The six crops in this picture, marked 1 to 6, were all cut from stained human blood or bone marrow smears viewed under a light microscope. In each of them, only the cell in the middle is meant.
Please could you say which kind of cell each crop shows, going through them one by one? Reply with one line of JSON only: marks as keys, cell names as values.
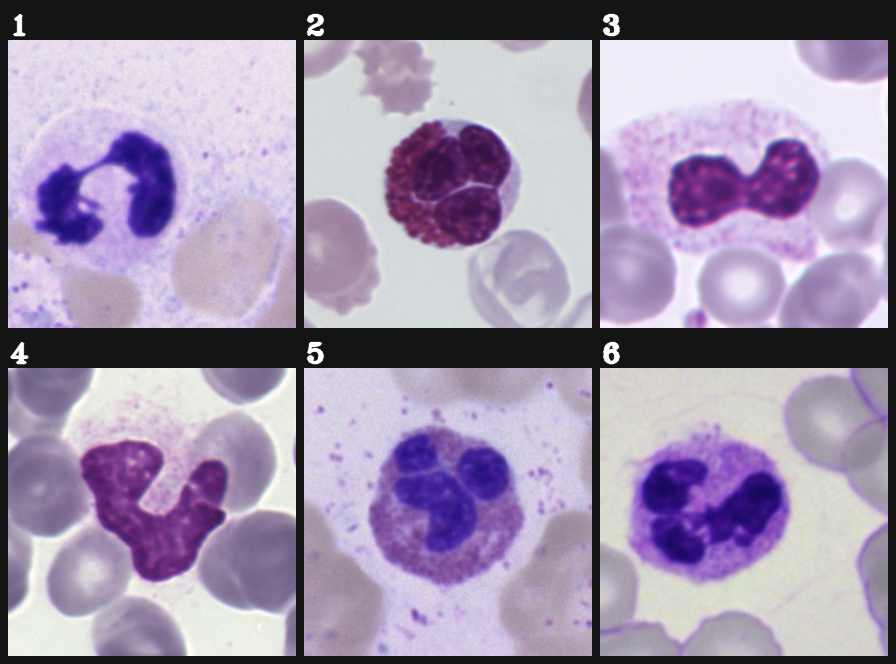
{"1": "segmented neutrophil", "2": "eosinophil", "3": "band neutrophil", "4": "band neutrophil", "5": "eosinophil", "6": "segmented neutrophil"}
